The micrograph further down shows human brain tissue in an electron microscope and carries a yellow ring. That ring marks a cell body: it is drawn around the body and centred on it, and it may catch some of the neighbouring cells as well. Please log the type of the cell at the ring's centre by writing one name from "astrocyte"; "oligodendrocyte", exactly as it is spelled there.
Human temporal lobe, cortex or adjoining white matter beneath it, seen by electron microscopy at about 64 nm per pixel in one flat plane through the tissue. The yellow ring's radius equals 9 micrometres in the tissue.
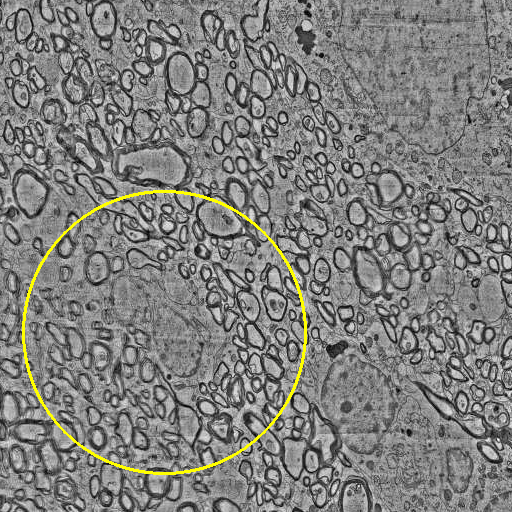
astrocyte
